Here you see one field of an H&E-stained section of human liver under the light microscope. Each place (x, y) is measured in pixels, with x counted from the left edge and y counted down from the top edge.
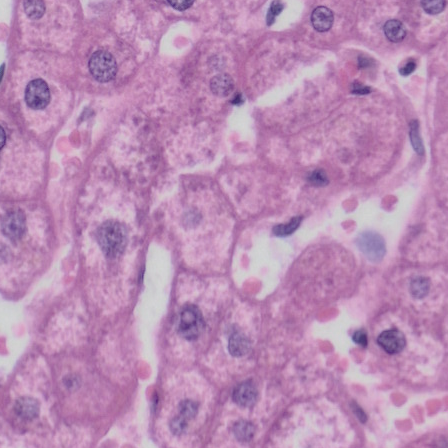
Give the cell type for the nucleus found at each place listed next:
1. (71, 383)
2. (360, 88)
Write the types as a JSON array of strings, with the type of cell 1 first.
["hepatocyte", "fibroblast or stellate cell"]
